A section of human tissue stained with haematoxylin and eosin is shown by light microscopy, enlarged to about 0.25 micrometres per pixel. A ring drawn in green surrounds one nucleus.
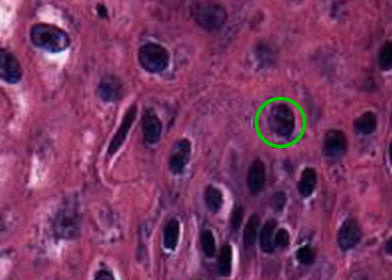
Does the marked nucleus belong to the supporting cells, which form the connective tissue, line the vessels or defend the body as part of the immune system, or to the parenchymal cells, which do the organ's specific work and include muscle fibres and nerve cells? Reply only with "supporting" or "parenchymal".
parenchymal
